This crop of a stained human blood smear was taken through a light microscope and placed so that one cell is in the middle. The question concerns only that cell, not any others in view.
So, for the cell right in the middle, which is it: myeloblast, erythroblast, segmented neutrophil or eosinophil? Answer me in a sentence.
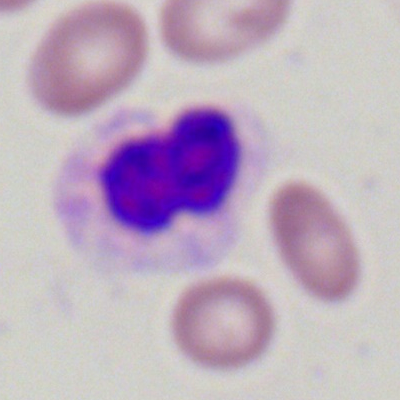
The cell at the central position in this crop is a segmented neutrophil.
